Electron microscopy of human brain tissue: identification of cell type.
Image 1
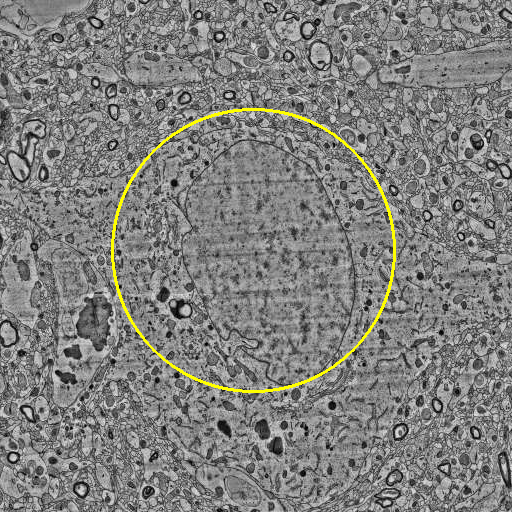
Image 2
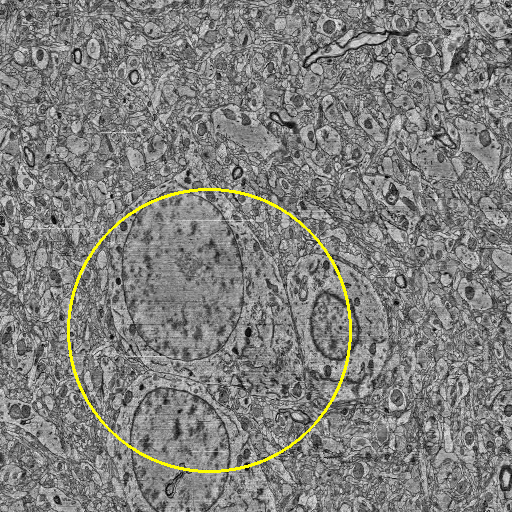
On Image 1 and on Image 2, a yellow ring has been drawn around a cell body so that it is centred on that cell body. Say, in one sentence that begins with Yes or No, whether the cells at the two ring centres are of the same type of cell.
Yes, both cells are the same type of cell.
